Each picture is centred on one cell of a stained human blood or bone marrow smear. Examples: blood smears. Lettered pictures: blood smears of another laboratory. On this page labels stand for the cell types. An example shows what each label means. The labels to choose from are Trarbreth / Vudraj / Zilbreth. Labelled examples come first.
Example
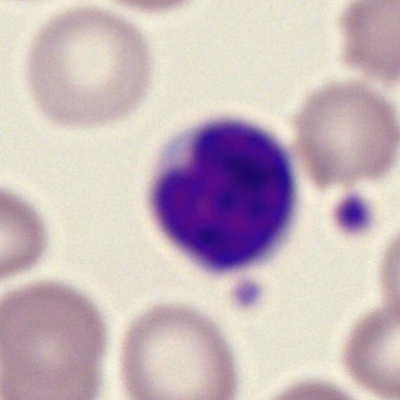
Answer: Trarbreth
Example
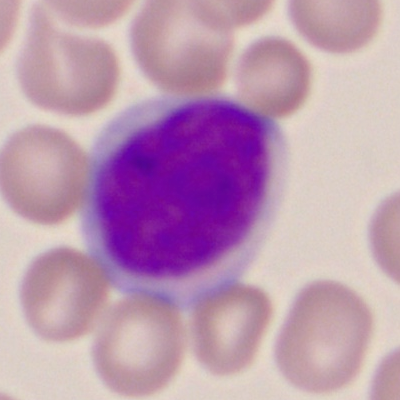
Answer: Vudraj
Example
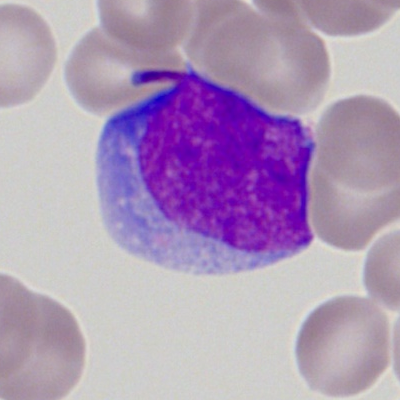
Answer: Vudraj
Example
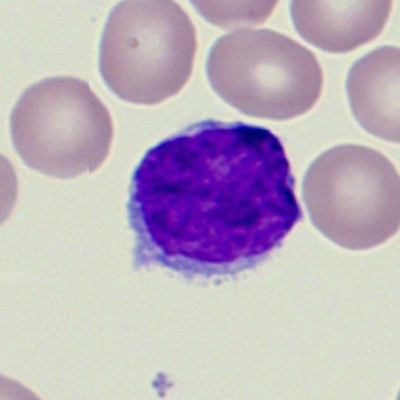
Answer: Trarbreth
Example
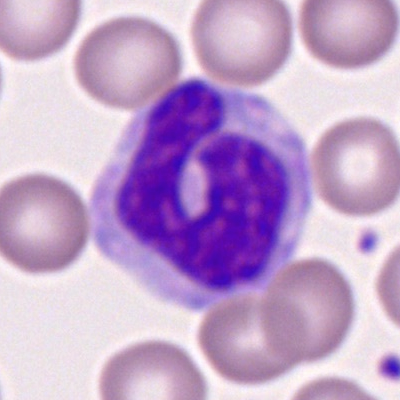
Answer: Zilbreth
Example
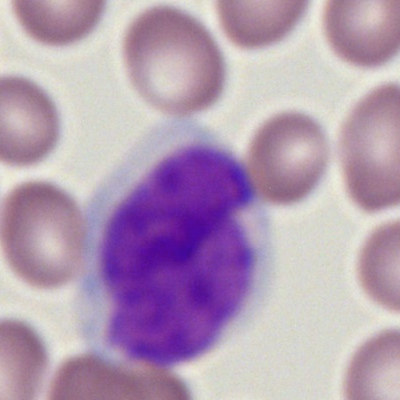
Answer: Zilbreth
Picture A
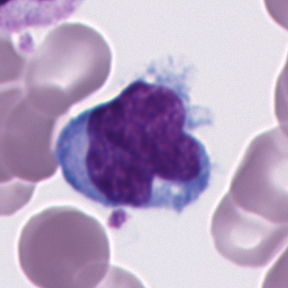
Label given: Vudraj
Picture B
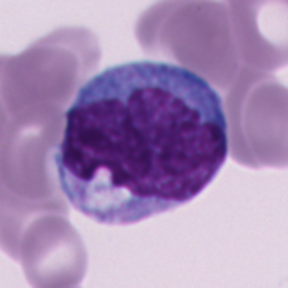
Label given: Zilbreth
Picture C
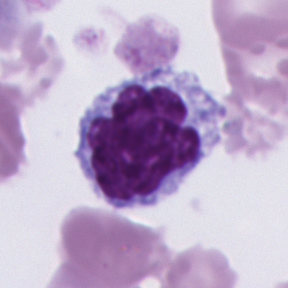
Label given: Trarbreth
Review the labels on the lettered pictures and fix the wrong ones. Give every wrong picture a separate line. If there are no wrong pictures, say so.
Wrong: A (Vudraj); correct: Zilbreth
